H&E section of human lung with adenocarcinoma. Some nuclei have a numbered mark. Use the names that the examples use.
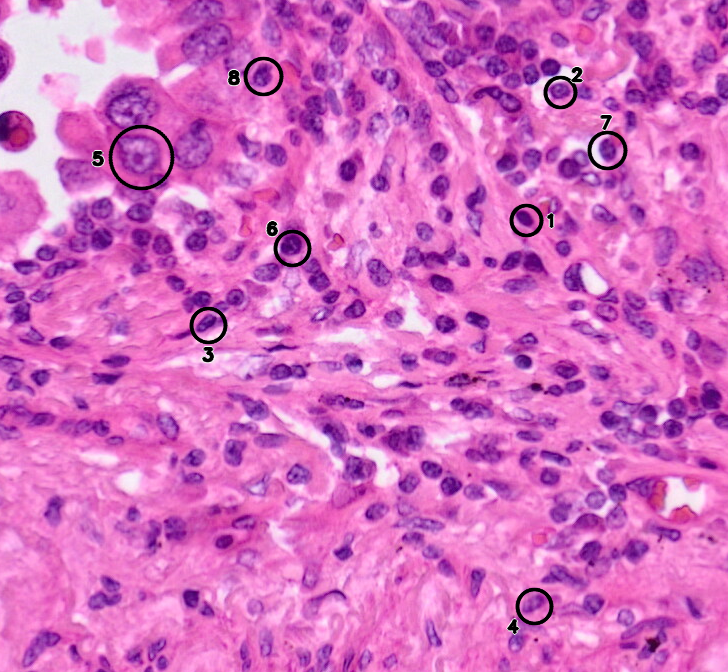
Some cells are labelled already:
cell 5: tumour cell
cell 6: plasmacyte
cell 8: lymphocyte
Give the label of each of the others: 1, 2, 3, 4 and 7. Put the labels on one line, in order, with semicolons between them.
plasmacyte; lymphocyte; lymphocyte; plasmacyte; lymphocyte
